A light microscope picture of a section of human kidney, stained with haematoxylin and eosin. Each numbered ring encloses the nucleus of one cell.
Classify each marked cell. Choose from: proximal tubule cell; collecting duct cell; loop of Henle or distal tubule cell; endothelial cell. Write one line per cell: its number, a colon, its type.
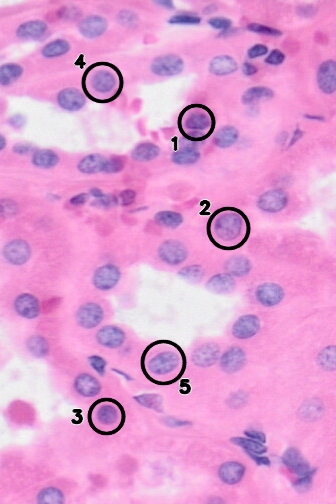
1: loop of Henle or distal tubule cell
2: proximal tubule cell
3: proximal tubule cell
4: loop of Henle or distal tubule cell
5: loop of Henle or distal tubule cell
